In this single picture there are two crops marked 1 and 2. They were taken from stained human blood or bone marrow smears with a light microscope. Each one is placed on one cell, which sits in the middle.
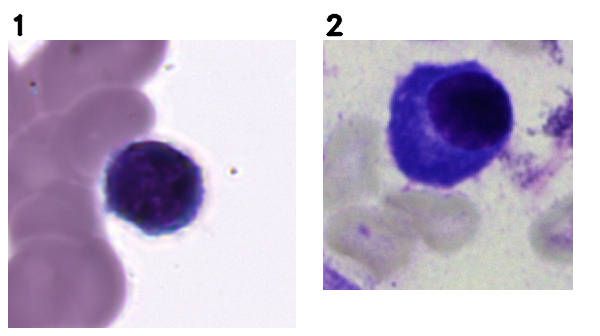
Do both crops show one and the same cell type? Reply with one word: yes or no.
yes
